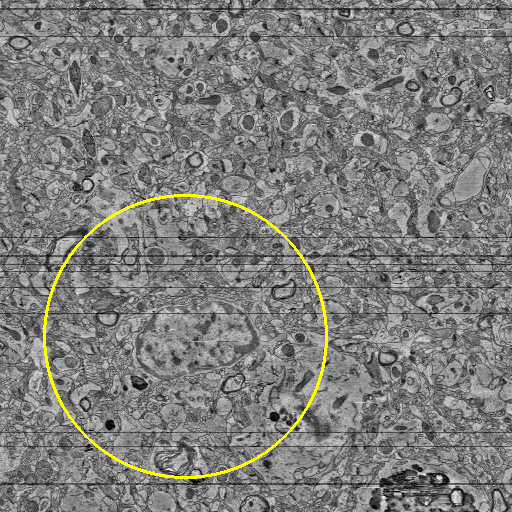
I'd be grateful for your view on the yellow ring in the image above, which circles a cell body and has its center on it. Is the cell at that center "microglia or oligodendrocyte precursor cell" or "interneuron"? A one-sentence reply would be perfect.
The cell at the center of the yellow ring is a microglial cell or oligodendrocyte precursor cell.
